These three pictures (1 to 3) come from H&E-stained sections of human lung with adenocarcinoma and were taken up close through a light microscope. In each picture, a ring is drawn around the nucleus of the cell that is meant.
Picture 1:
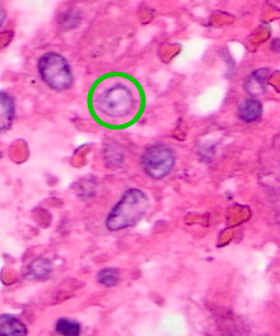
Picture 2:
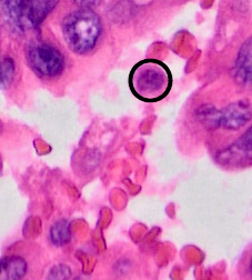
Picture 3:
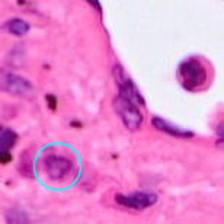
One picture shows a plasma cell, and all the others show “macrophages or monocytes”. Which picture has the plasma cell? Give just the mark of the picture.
3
